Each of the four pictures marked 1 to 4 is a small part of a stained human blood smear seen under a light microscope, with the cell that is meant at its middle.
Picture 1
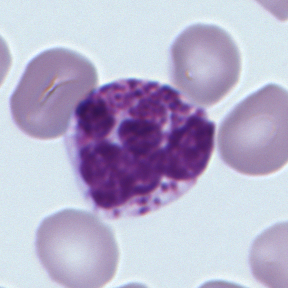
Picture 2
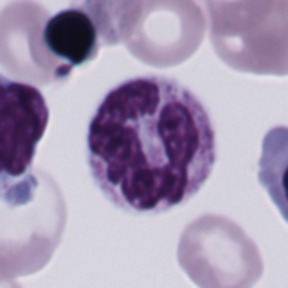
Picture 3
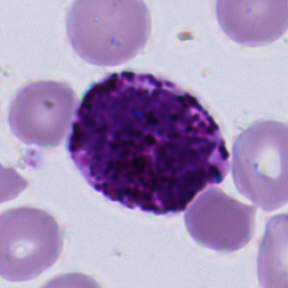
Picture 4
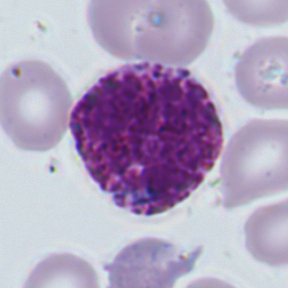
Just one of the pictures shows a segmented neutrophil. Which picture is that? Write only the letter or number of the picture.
2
